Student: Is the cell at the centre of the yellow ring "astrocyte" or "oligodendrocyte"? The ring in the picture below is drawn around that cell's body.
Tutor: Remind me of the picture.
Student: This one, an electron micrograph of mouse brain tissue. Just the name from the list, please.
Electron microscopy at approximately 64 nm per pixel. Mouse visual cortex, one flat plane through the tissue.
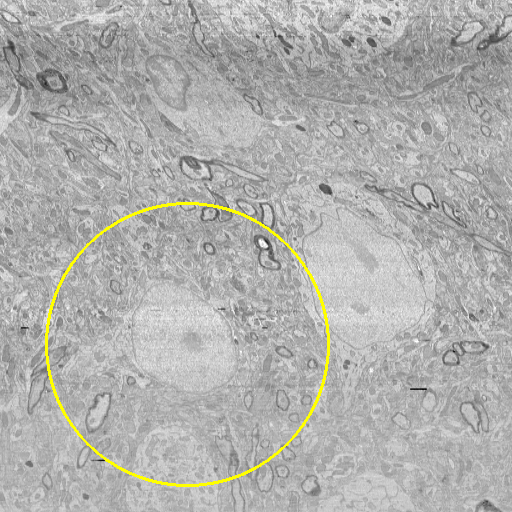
astrocyte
